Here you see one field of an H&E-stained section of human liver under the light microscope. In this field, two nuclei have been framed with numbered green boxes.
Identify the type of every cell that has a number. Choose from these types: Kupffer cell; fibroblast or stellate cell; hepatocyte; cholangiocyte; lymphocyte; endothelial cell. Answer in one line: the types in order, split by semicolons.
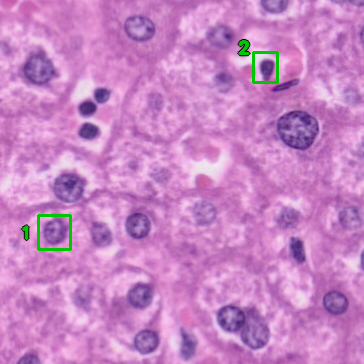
hepatocyte; lymphocyte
